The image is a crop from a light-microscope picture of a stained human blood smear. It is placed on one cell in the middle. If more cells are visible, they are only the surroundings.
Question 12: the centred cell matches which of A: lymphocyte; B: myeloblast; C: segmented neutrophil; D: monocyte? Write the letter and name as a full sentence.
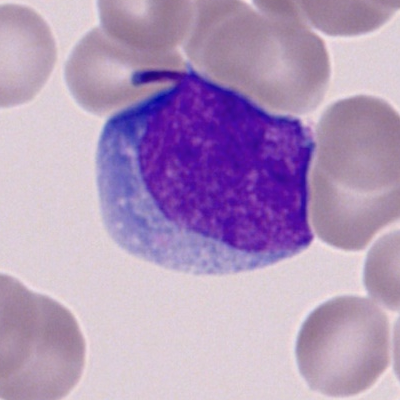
Of the choices given, option B is right, as the central cell is a myeloblast.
